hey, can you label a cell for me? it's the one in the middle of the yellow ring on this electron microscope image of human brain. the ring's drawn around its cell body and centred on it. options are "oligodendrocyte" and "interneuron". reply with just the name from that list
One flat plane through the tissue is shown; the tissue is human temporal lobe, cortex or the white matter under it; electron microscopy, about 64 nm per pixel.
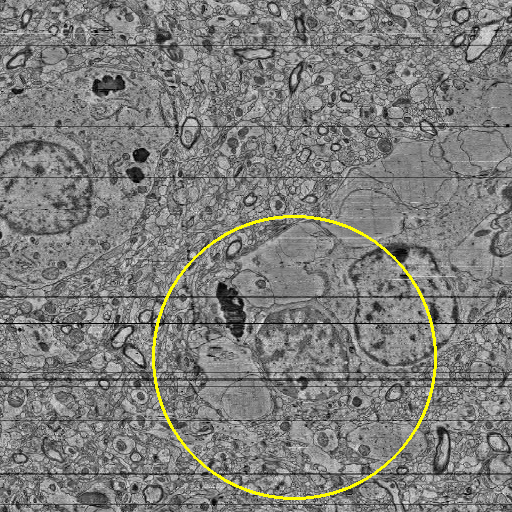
oligodendrocyte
